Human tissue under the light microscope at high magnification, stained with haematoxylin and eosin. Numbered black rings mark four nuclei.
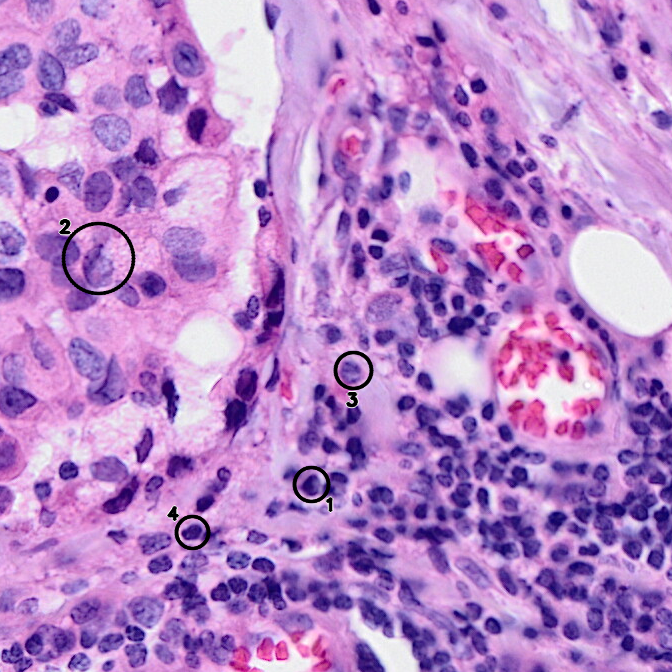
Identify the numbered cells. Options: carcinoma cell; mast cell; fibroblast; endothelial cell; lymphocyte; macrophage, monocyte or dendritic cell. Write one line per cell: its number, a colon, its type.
1: lymphocyte
2: carcinoma cell
3: mast cell
4: lymphocyte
